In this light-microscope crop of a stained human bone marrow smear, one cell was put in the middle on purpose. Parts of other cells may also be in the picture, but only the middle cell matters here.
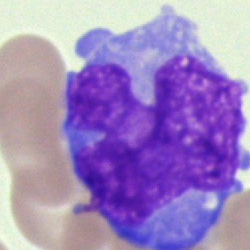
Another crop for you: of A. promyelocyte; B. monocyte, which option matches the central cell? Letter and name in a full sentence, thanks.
Option B is correct, and the cell in the centre is a monocyte.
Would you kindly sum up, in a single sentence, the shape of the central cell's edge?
Seen at its edge, the cell is not smooth but ragged or projecting.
